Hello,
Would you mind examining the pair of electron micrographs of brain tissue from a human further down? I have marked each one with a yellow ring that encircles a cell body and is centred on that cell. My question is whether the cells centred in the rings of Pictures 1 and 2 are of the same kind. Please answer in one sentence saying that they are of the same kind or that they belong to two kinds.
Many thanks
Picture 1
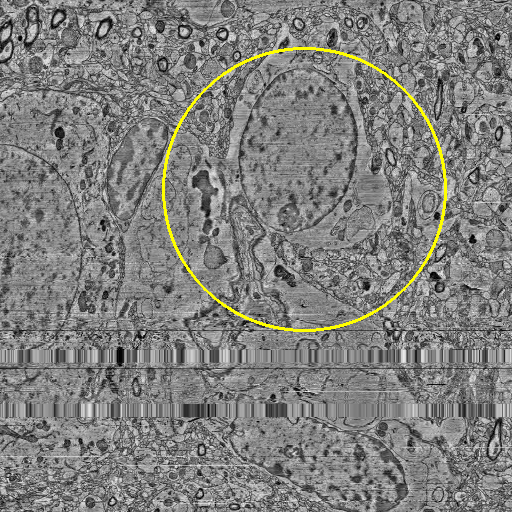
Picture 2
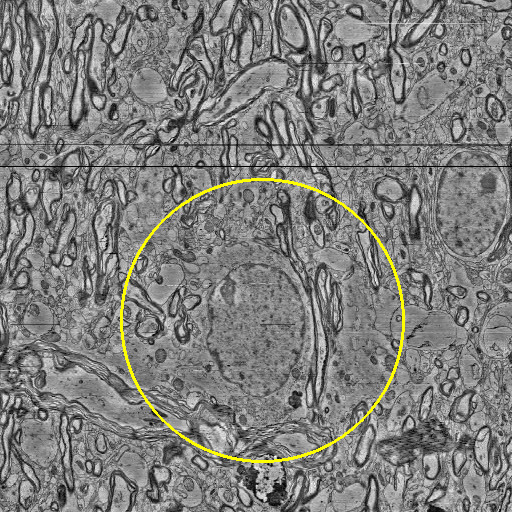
In Pictures 1 and 2, the cells at the heart of the rings are of the same kind.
